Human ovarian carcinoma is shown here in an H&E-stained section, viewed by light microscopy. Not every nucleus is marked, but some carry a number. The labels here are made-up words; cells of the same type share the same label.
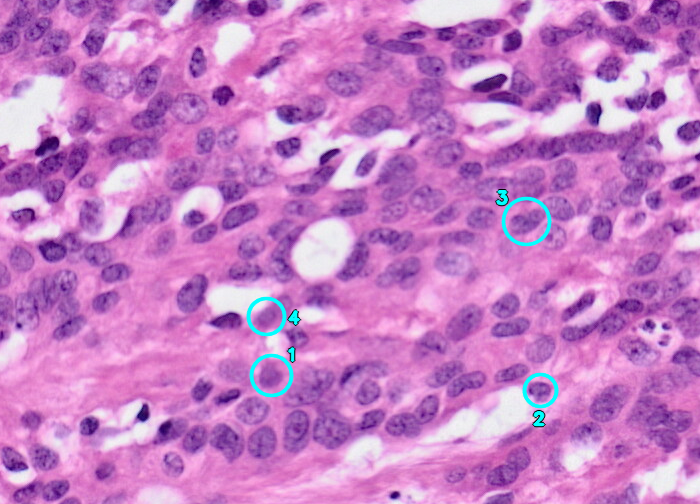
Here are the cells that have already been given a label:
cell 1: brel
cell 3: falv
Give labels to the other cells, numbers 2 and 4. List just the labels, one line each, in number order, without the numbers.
falv
brel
